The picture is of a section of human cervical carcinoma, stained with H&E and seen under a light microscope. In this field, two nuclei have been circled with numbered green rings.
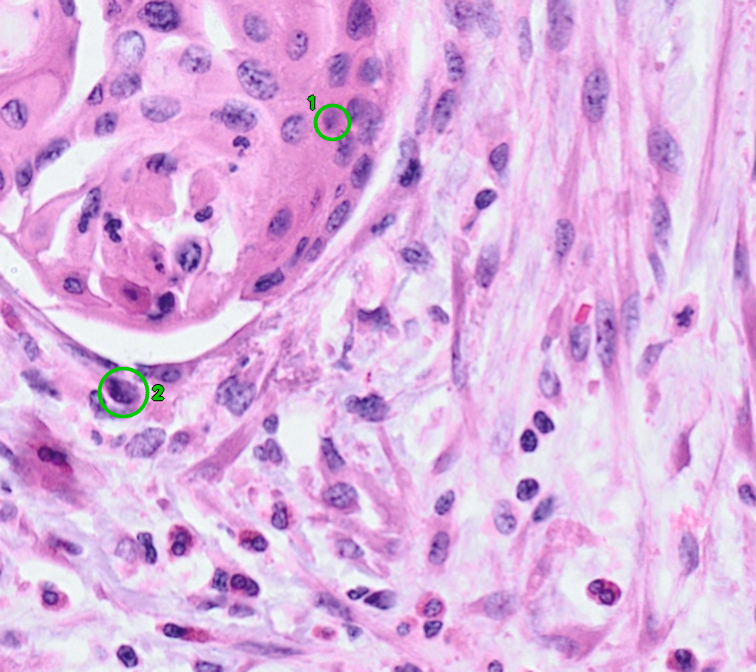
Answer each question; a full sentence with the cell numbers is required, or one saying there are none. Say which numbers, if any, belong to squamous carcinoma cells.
Of the cells marked with numbers, cell 1 is the only one that is a squamous carcinoma cell.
